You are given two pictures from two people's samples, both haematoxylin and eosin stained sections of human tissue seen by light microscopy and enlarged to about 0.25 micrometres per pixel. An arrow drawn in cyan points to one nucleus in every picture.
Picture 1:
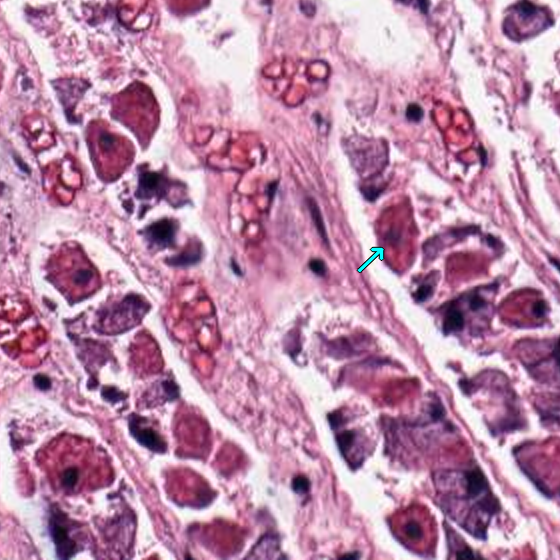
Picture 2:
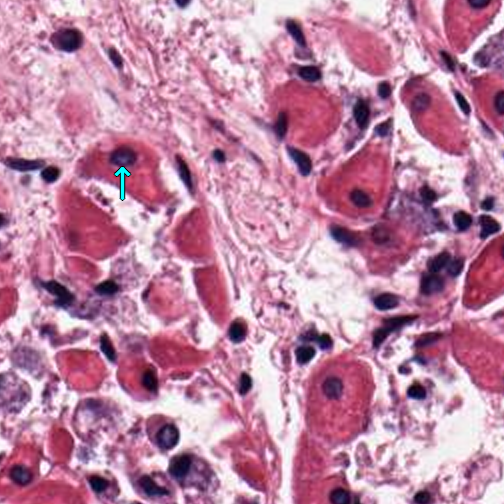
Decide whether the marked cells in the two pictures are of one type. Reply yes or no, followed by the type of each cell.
Yes, both are parietal cells.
